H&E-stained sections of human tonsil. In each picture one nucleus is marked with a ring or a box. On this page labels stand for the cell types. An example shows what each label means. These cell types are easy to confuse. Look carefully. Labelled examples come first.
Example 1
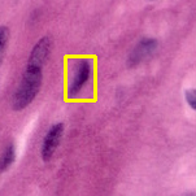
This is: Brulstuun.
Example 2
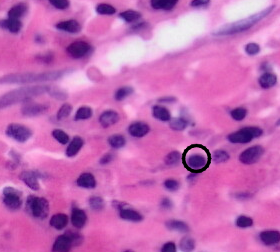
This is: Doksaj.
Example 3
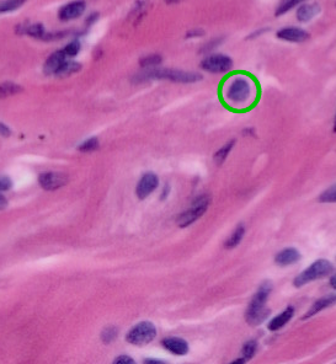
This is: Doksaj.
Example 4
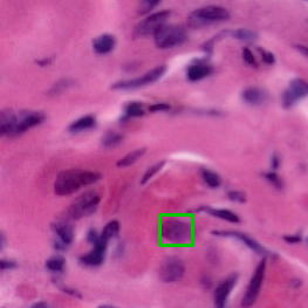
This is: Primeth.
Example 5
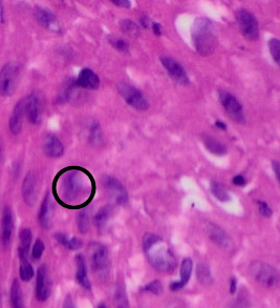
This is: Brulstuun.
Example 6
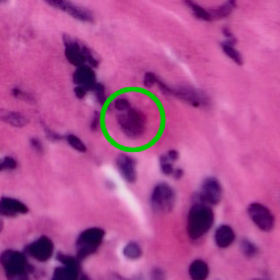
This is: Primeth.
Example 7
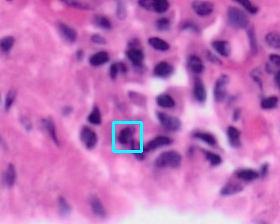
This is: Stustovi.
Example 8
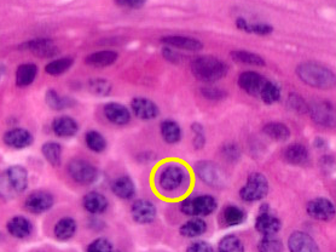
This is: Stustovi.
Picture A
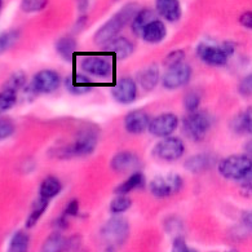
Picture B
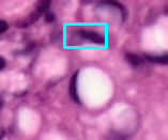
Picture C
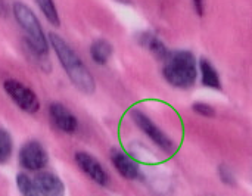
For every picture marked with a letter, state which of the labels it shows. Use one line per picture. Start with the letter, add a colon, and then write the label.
A: Stustovi.
B: Brulstuun.
C: Primeth.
